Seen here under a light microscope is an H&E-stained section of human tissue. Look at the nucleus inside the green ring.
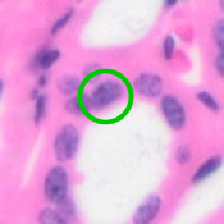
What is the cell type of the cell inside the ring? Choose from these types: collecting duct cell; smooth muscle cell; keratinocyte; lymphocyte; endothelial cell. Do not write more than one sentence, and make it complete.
Histopathologically, the cell inside the ring is a collecting duct cell.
